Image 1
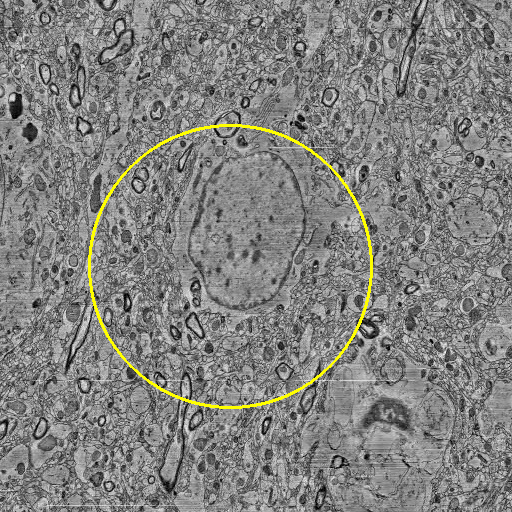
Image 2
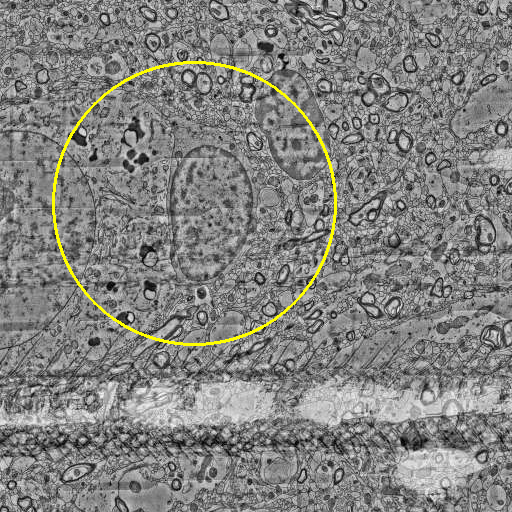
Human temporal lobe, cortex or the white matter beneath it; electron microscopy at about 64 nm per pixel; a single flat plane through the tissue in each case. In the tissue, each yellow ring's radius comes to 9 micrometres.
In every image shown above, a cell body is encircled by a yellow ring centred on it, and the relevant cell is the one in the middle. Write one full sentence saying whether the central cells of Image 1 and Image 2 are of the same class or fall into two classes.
The cell at the ring's centre in Image 1 and its counterpart in Image 2 fall into two classes.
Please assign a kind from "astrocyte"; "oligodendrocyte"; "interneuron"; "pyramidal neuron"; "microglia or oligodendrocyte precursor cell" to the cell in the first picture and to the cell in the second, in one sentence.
In the first picture we have an astrocyte, and in the second, an oligodendrocyte.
